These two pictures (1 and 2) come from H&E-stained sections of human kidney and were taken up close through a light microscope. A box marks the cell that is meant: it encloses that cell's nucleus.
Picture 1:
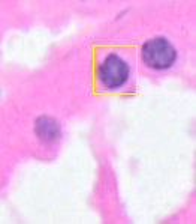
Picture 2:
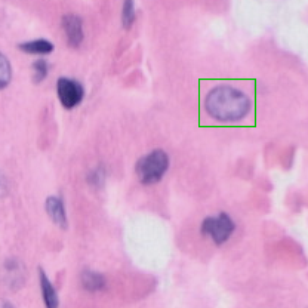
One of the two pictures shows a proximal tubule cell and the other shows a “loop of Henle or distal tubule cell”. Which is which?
1: loop of Henle or distal tubule cell
2: proximal tubule cell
